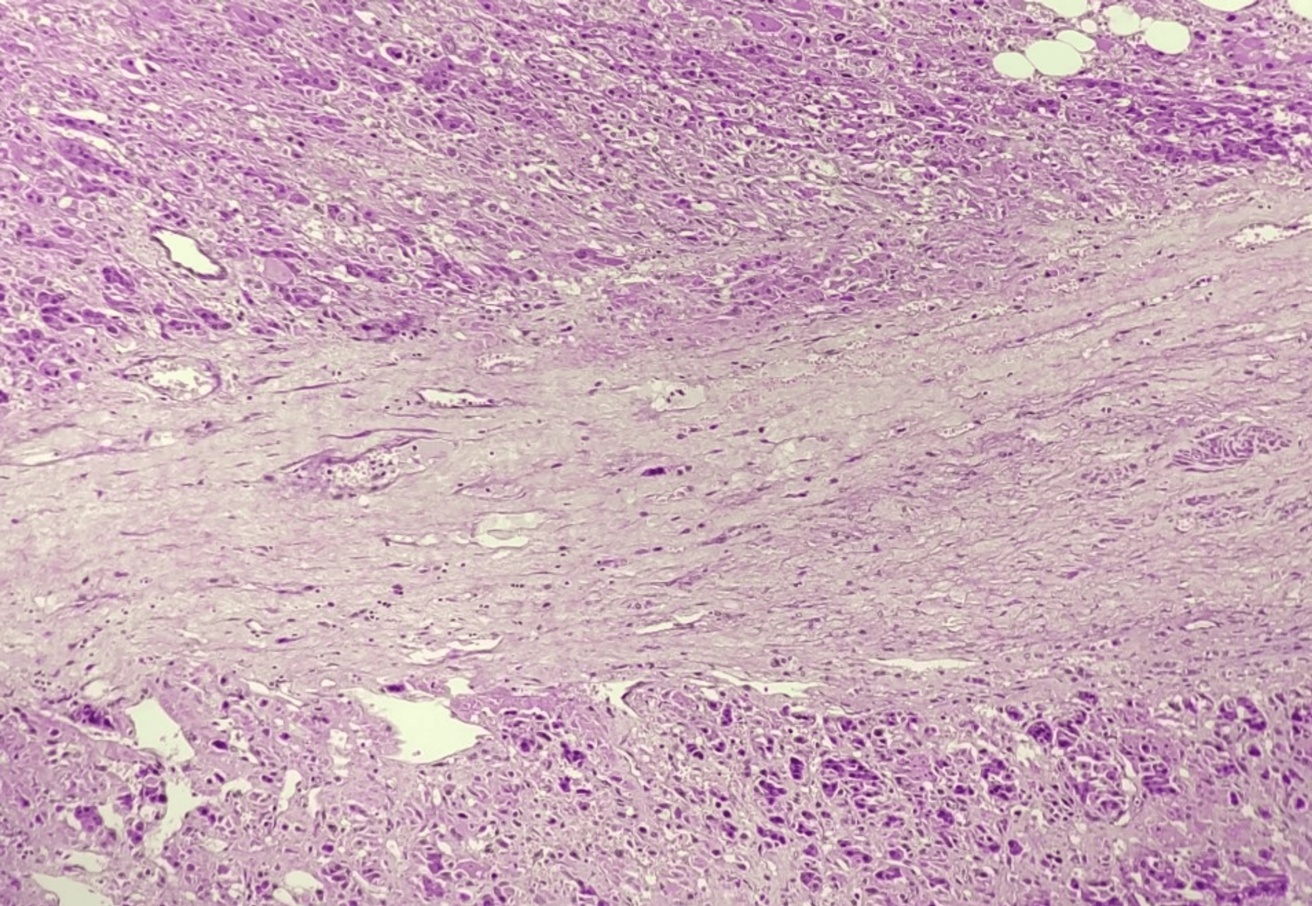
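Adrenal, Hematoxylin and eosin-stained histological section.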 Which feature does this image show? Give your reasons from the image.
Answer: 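Fibrous stromal band. A pale, paucicellular band crosses the middle of the field from side to side. The band contains sparse elongated nuclei and small vessels. Densely cellular tissue lies above and below the band.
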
